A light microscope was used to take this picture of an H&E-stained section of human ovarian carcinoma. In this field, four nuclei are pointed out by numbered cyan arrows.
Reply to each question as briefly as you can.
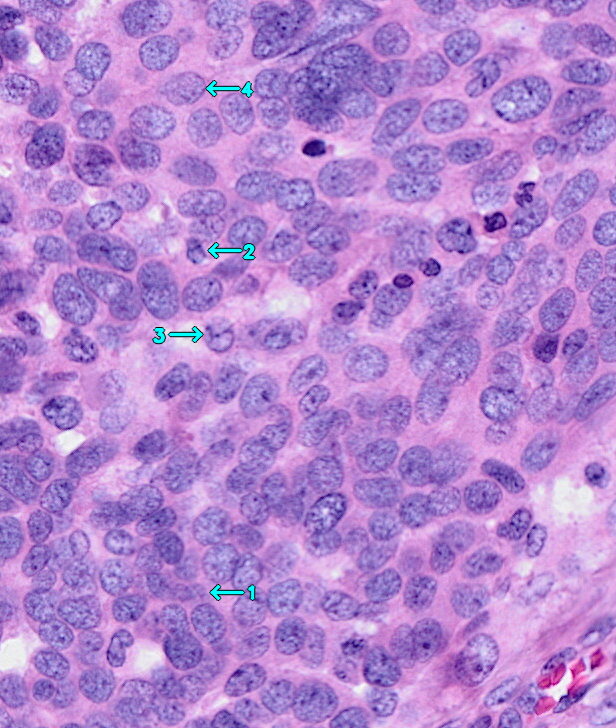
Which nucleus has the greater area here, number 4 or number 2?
4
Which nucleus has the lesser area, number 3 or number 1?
1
